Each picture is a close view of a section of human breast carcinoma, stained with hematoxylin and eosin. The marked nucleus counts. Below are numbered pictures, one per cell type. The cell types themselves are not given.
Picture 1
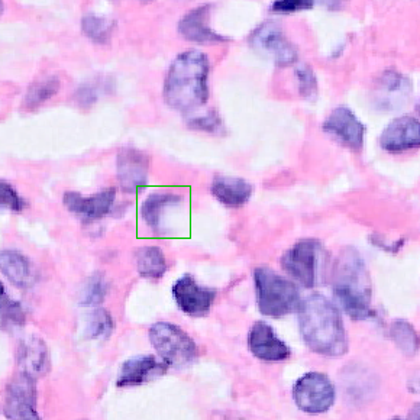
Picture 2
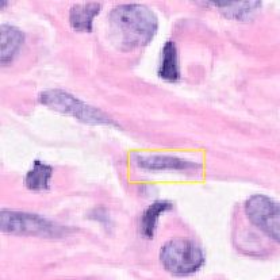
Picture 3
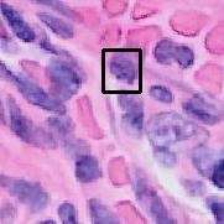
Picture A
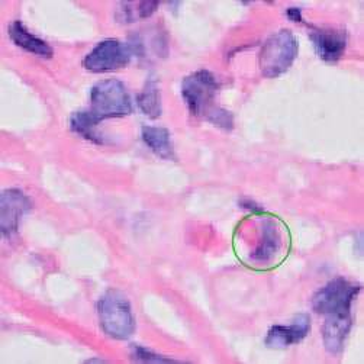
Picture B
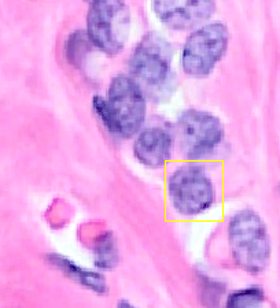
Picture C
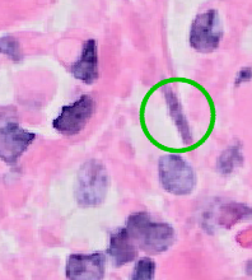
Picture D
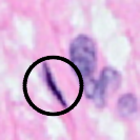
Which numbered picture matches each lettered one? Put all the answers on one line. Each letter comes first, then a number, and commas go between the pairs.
A 3, B 1, C 2, D 2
